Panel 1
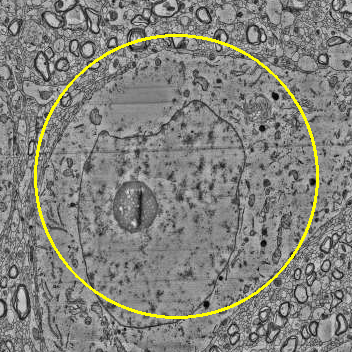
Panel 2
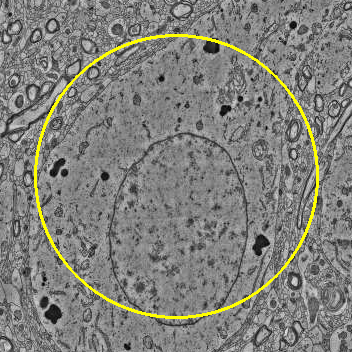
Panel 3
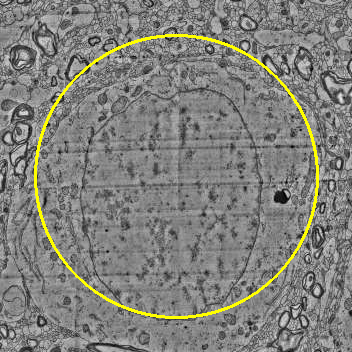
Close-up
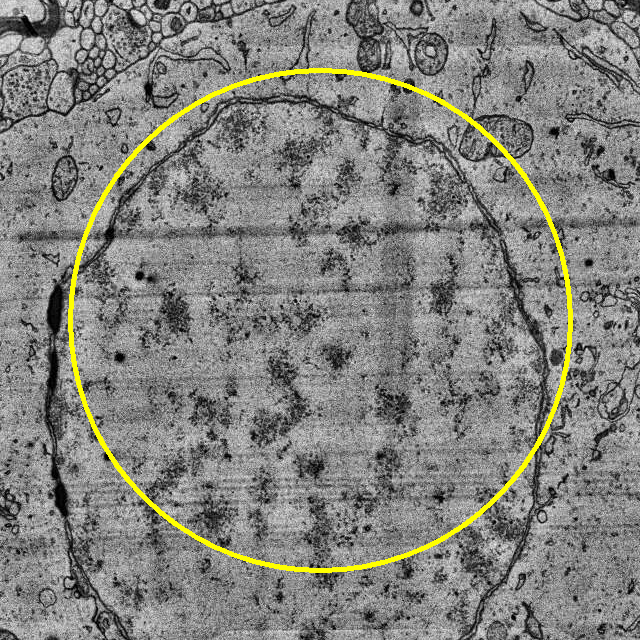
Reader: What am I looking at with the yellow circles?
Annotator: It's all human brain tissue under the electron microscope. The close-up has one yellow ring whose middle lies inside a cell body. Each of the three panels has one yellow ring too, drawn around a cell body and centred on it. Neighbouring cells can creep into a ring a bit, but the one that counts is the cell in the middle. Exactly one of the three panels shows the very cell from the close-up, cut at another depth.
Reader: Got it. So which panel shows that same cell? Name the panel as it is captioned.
Panel 3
